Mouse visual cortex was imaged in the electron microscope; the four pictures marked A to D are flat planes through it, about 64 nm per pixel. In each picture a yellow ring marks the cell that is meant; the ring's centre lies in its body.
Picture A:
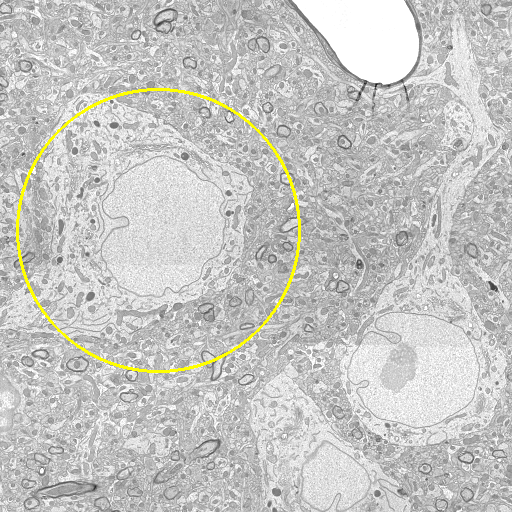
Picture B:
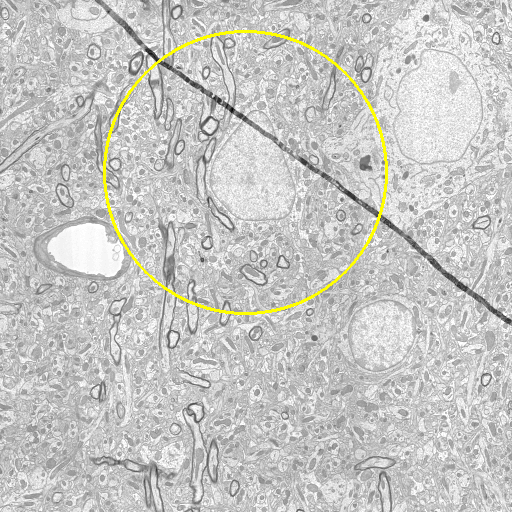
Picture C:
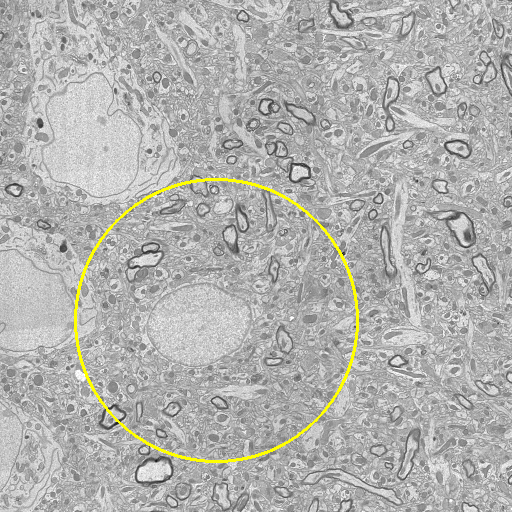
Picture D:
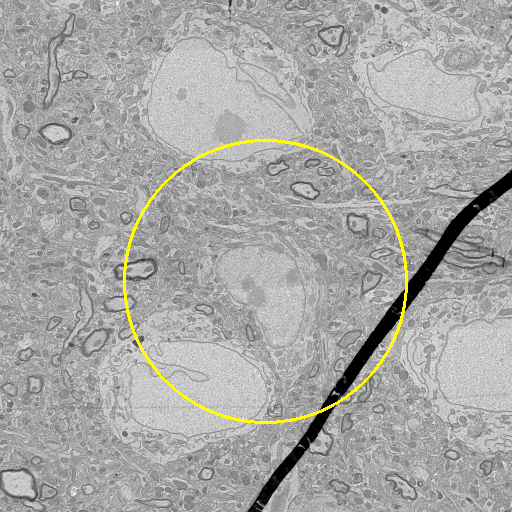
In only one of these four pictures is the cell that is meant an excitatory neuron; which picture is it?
The excitatory neuron is the one in picture A.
